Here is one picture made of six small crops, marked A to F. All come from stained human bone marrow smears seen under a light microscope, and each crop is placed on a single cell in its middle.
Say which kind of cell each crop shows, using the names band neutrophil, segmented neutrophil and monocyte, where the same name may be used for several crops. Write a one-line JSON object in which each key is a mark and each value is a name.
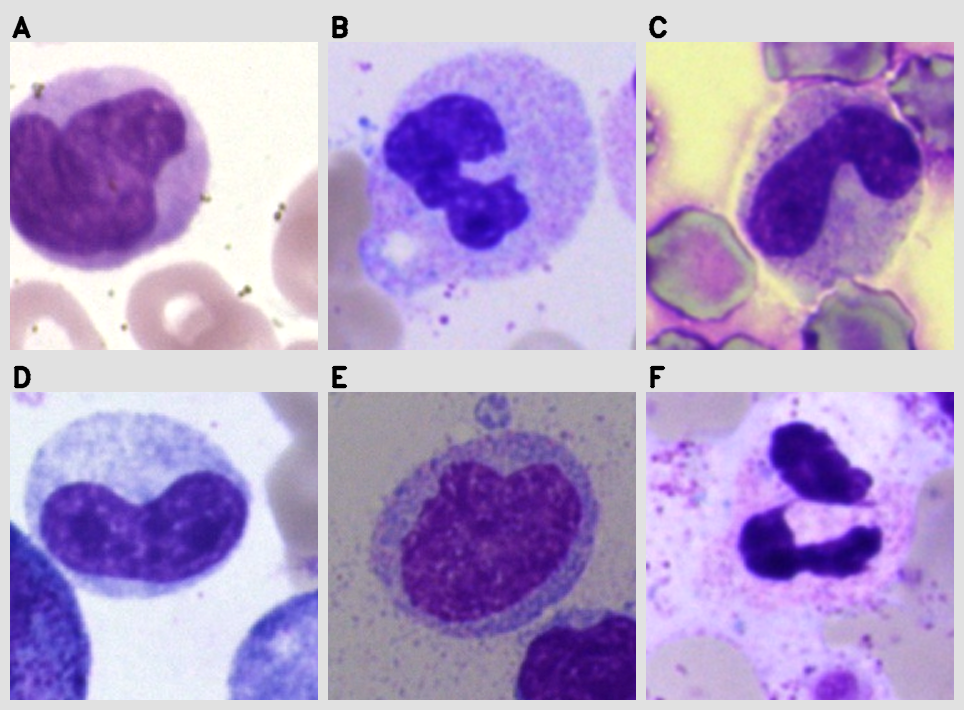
{"A": "monocyte", "B": "segmented neutrophil", "C": "band neutrophil", "D": "band neutrophil", "E": "monocyte", "F": "segmented neutrophil"}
